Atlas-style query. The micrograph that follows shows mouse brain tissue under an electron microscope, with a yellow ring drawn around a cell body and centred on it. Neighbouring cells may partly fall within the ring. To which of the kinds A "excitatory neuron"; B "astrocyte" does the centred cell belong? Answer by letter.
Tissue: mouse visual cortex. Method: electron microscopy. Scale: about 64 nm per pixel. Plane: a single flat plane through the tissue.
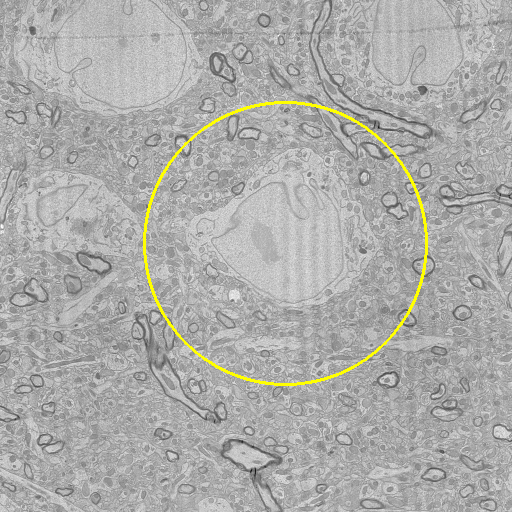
A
